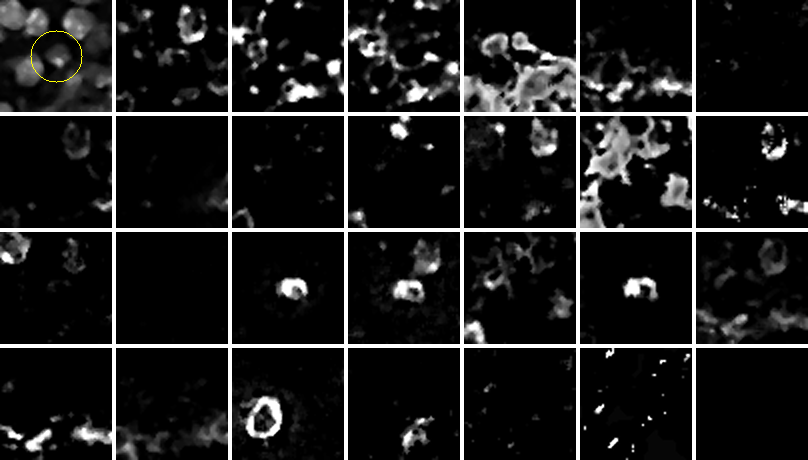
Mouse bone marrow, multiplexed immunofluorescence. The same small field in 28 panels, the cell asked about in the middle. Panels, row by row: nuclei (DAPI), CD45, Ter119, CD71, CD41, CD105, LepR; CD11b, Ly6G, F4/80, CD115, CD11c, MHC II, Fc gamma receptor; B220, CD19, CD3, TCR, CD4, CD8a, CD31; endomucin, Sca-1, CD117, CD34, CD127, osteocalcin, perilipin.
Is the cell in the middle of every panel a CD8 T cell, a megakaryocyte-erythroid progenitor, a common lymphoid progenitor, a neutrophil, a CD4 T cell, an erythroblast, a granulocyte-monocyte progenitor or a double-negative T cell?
It is a CD8 T cell.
